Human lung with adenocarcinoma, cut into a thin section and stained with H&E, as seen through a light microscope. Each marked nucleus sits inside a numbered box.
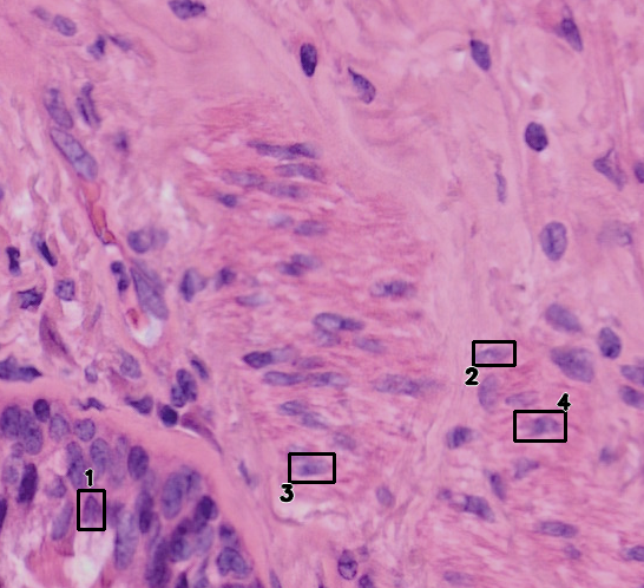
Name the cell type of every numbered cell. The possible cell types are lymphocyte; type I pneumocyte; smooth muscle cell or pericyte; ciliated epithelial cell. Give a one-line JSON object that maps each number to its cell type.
{"1": "ciliated epithelial cell", "2": "smooth muscle cell or pericyte", "3": "smooth muscle cell or pericyte", "4": "smooth muscle cell or pericyte"}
